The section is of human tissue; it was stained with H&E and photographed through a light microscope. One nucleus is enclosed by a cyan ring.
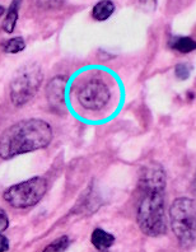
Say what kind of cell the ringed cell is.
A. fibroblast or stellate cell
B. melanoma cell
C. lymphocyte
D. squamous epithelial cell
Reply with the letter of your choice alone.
B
